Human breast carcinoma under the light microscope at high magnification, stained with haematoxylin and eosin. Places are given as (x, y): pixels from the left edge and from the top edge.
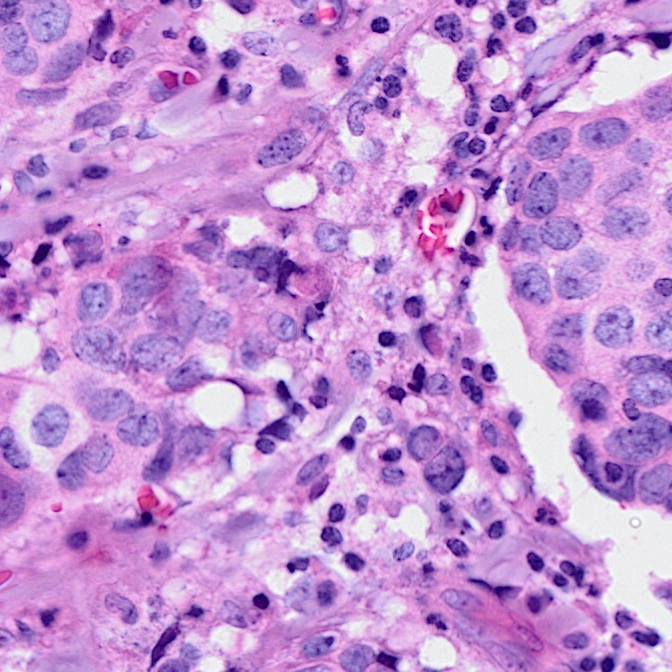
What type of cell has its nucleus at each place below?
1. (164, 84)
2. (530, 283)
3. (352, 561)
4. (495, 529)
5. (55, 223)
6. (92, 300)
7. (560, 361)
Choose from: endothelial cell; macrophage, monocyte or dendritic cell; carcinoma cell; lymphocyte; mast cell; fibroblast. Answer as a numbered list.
1. endothelial cell
2. carcinoma cell
3. lymphocyte
4. lymphocyte
5. lymphocyte
6. carcinoma cell
7. carcinoma cell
